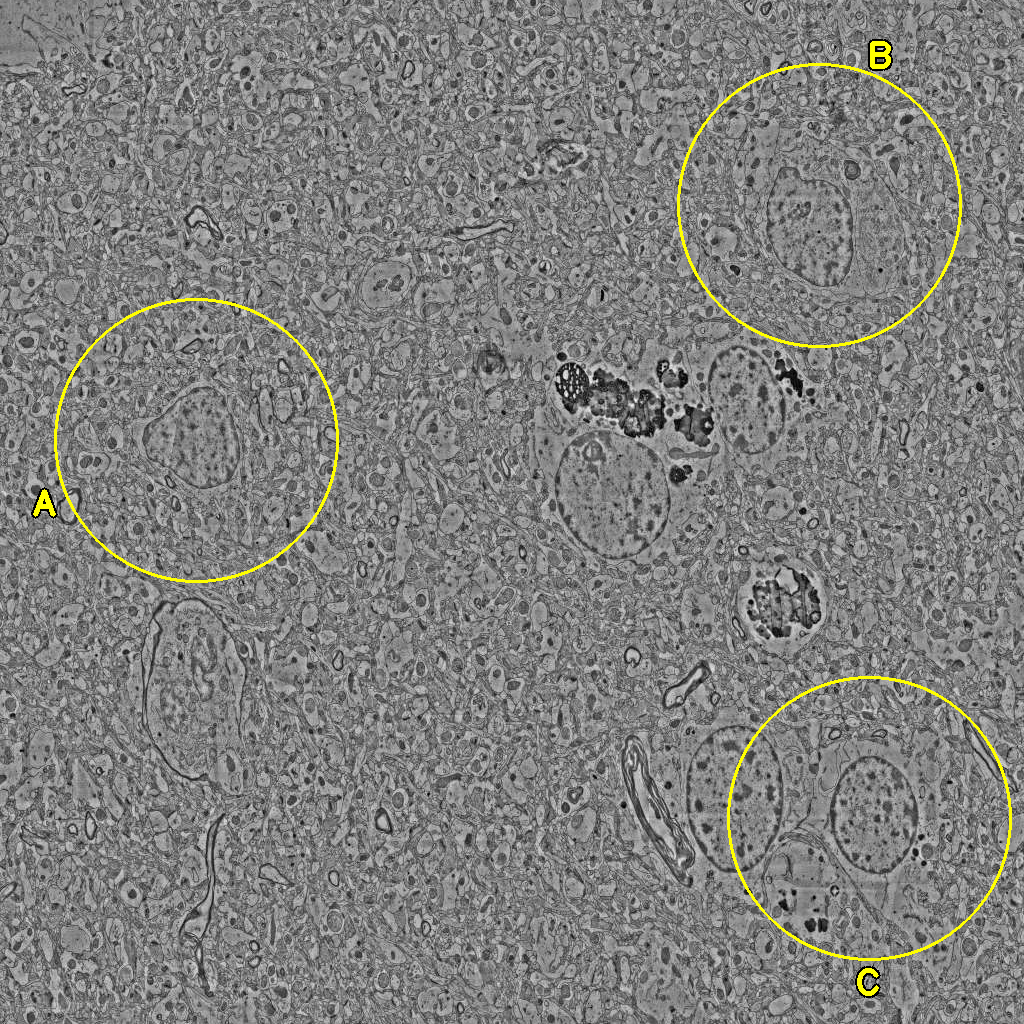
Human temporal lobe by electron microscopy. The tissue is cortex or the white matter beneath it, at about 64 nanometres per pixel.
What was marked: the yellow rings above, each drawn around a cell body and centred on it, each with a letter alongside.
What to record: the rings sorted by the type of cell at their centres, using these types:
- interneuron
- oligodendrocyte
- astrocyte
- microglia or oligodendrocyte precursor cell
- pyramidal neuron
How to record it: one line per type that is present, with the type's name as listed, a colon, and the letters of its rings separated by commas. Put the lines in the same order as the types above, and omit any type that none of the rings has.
astrocyte: C
microglia or oligodendrocyte precursor cell: A, B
